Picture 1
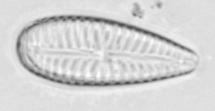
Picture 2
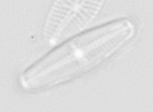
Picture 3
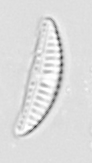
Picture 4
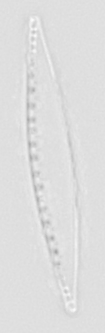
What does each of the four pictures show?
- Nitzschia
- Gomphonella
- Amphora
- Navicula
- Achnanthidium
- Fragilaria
Picture 1: Gomphonella
Picture 2: Achnanthidium
Picture 3: Amphora
Picture 4: Nitzschia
